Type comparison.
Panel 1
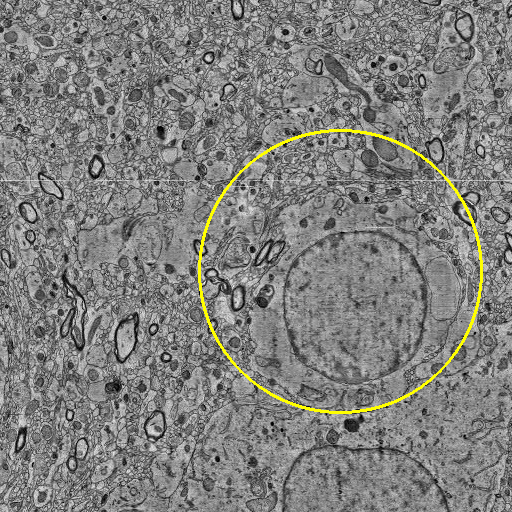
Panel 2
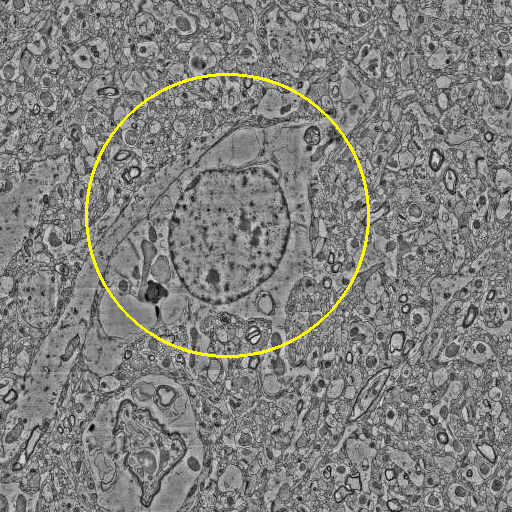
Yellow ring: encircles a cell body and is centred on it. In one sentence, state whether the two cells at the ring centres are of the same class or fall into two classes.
In these panels, the two cells at the ring centres are of the same class.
